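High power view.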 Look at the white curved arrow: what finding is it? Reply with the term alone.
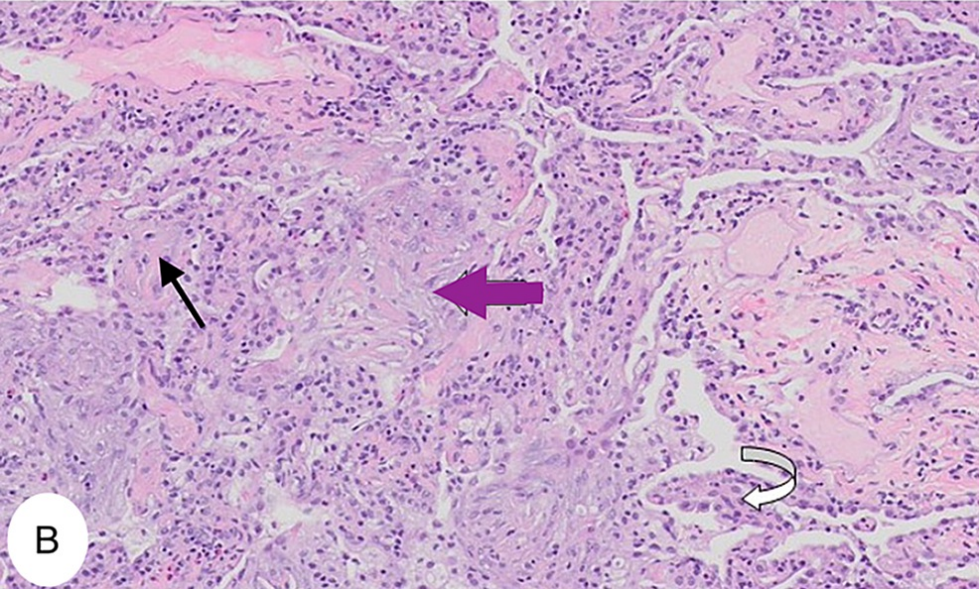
alveolar epithelial hyperplasia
